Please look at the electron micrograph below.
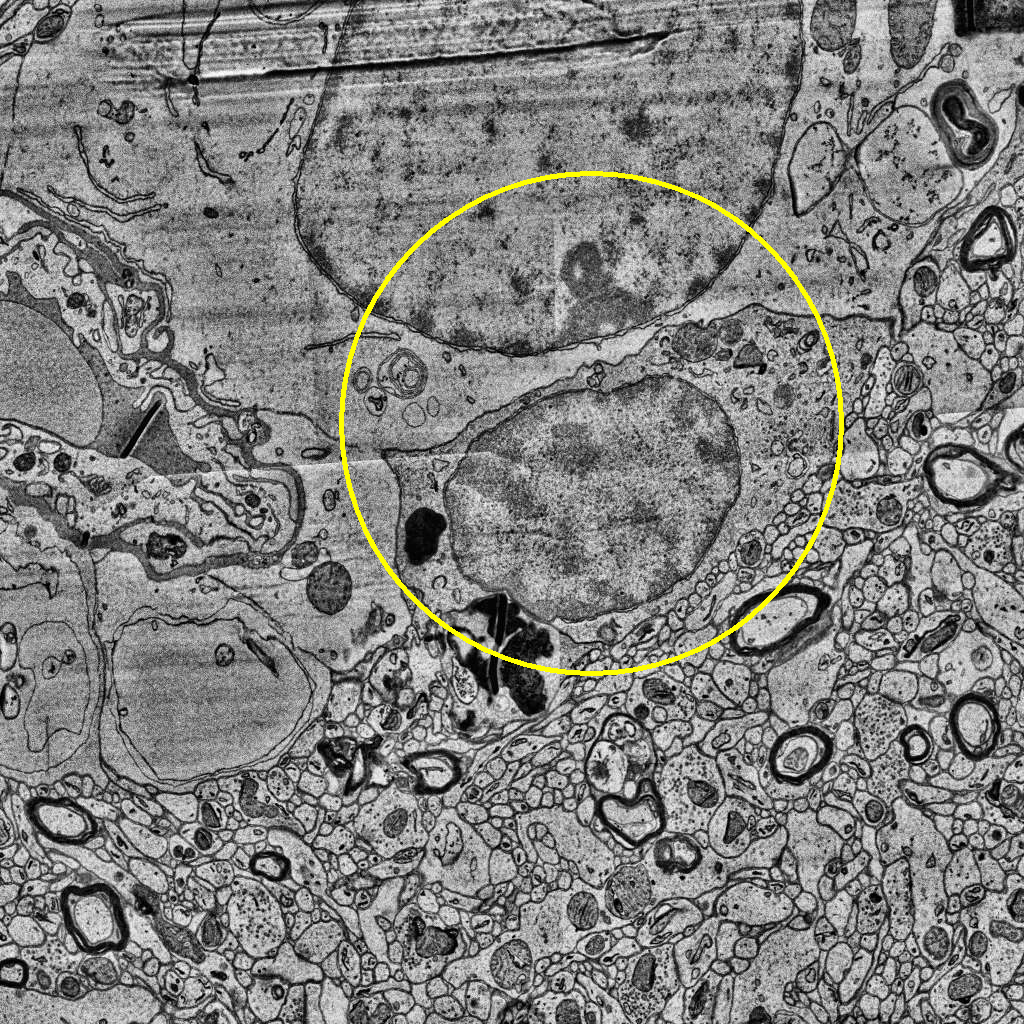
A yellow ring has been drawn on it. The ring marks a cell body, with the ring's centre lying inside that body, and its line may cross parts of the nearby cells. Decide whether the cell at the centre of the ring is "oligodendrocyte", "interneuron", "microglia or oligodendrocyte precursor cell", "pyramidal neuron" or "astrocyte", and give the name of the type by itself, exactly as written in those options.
oligodendrocyte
